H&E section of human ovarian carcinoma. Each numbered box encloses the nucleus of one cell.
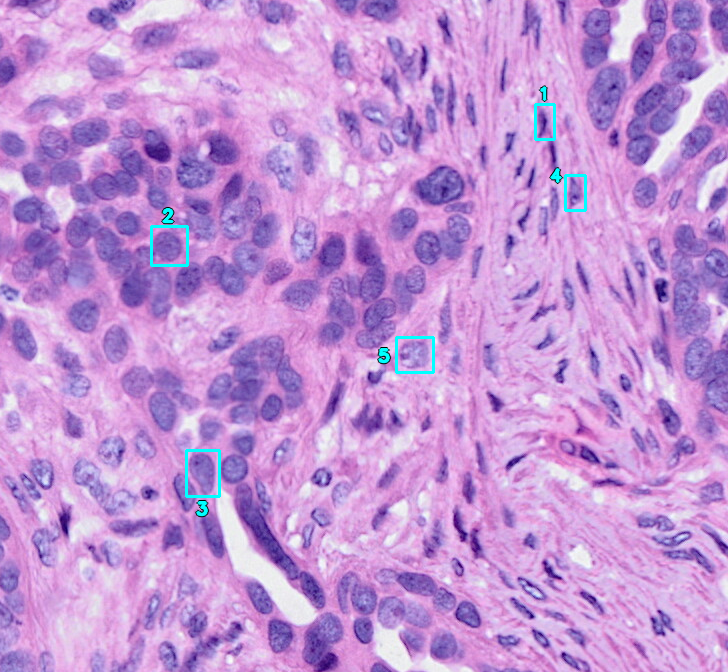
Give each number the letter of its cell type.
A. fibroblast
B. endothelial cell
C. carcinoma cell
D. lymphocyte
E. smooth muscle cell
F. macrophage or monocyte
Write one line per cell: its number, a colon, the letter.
1: A
2: C
3: C
4: A
5: A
